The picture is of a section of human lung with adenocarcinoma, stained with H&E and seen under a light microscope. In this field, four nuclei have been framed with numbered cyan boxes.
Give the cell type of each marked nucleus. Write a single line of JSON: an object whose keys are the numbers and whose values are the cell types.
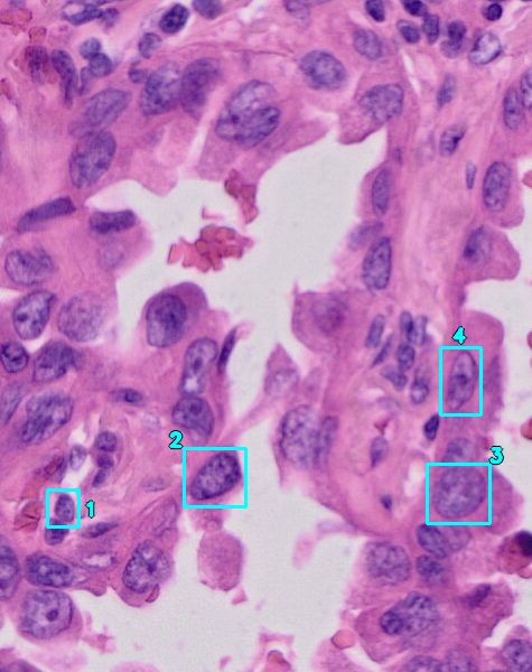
{"1": "lymphocyte", "2": "carcinoma cell", "3": "carcinoma cell", "4": "carcinoma cell"}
